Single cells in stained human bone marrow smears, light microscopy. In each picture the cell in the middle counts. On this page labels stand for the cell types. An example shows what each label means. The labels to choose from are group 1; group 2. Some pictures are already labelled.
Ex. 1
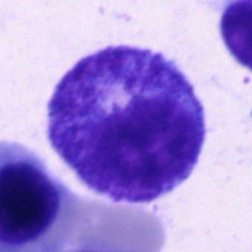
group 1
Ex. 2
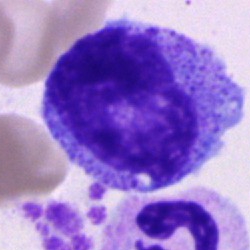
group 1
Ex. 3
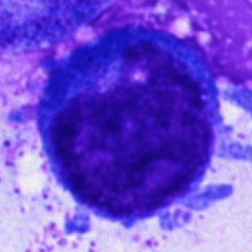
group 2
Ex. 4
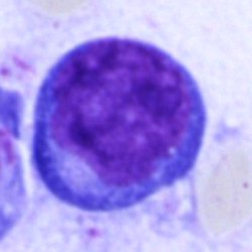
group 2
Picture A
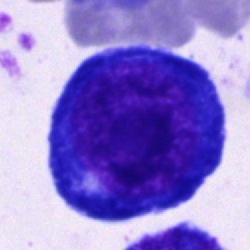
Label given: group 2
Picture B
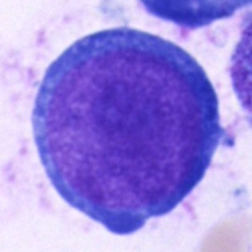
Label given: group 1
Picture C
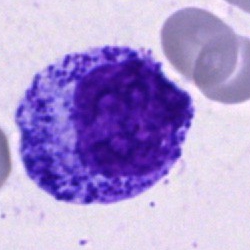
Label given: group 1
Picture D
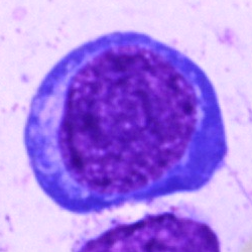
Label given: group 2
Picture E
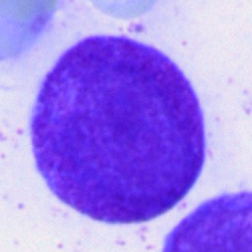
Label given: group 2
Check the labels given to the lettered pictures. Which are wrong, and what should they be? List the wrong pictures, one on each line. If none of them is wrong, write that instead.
B: group 2, not group 1
E: group 1, not group 2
